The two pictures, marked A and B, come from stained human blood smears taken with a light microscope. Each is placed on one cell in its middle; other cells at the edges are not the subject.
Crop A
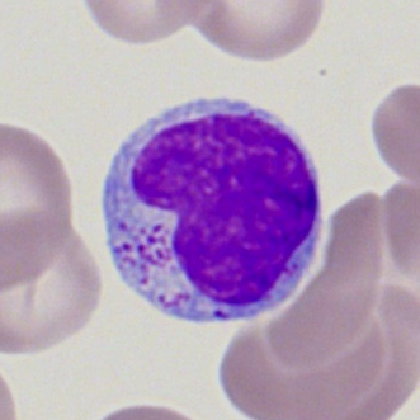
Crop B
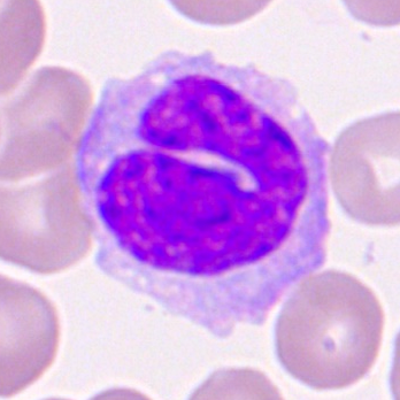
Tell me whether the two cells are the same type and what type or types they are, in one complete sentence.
No, within crop A lies a lymphocyte, and within crop B lies a monocyte.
